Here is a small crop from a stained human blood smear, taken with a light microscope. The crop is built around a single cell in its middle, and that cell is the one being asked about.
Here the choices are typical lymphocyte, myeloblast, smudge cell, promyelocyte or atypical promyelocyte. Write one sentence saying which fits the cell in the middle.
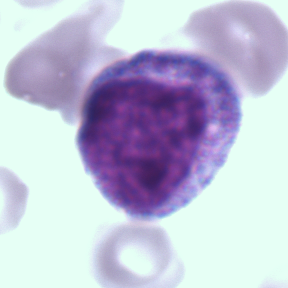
At the center of the crop sits a promyelocyte.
